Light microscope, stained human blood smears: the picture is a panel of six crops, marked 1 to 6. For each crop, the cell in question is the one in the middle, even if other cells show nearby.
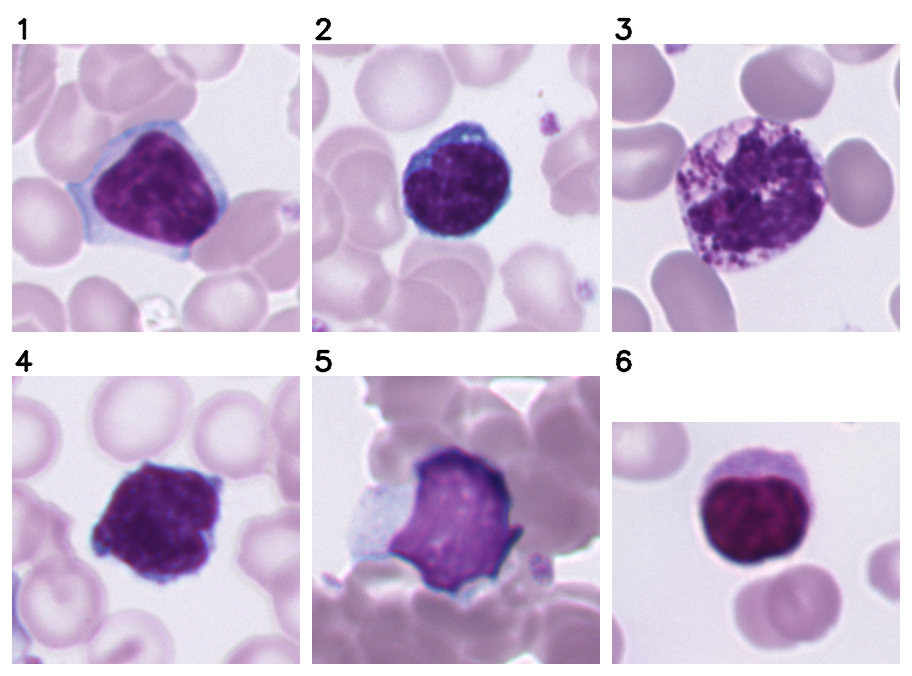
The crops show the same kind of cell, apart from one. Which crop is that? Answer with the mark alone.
3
